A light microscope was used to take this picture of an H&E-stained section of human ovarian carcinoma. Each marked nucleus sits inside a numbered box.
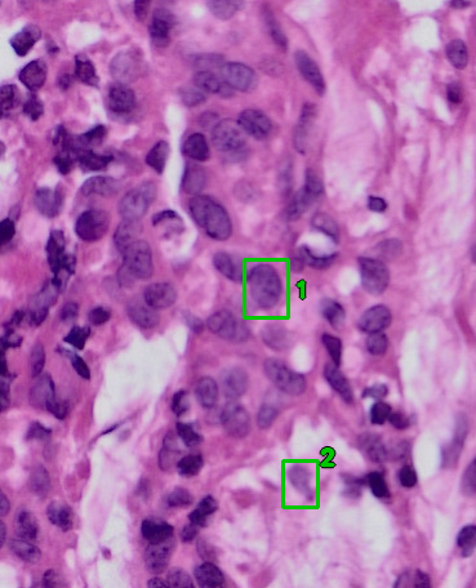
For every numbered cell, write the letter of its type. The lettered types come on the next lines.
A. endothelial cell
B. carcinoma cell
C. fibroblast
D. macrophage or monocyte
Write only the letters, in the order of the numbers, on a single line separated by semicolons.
B; C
